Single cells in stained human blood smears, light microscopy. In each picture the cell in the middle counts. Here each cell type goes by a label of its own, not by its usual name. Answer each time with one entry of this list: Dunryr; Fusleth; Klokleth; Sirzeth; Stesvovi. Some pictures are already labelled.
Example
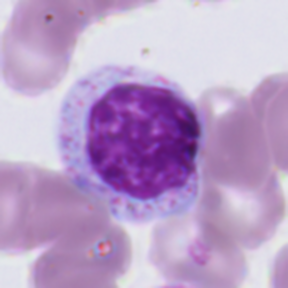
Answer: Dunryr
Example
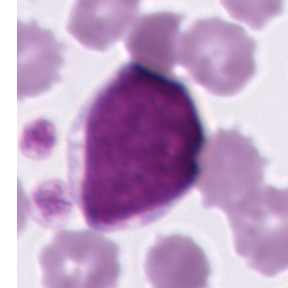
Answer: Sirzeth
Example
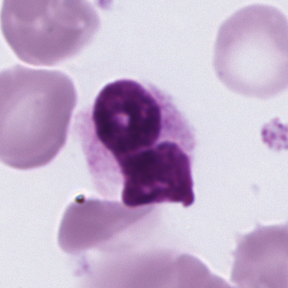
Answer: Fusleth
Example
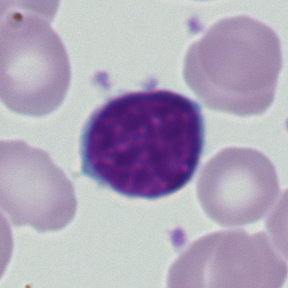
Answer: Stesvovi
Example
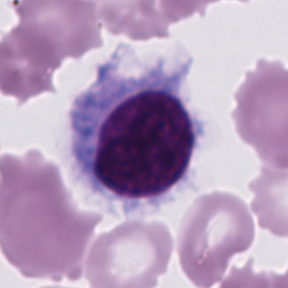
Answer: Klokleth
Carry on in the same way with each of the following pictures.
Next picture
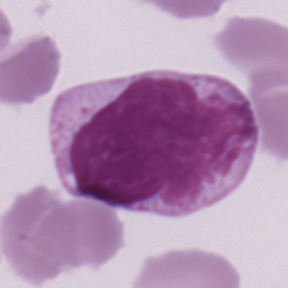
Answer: Sirzeth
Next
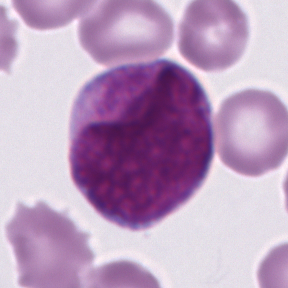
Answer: Sirzeth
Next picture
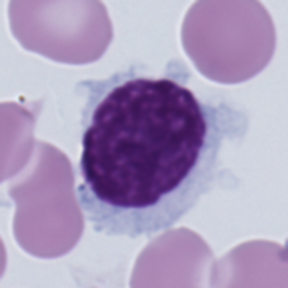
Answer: Klokleth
